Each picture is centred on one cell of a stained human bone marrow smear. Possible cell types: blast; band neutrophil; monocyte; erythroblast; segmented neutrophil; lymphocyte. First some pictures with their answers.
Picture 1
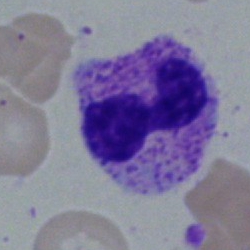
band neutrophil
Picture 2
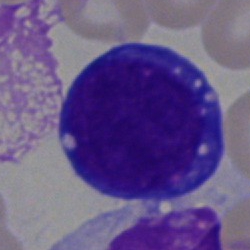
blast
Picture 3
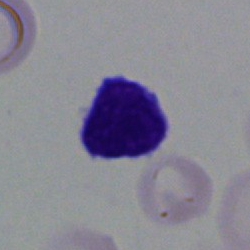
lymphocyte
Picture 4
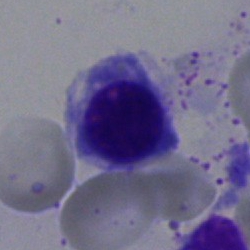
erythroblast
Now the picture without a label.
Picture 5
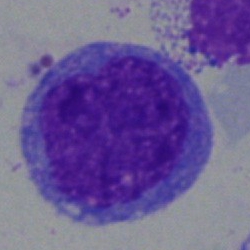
blast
